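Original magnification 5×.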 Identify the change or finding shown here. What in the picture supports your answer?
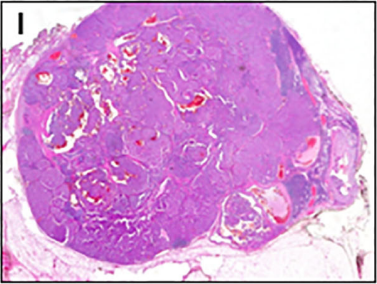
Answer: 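A rounded encapsulated node sits in pale fatty tissue. Tumor nests with spaces fill much of the node. A rim of darker purple tissue remains at the node's edge.
Hence: lymph node metastasis.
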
